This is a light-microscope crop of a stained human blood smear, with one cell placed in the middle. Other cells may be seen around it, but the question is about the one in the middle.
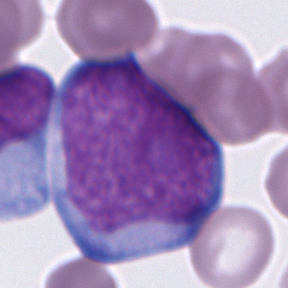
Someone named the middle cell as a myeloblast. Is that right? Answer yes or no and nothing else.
yes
